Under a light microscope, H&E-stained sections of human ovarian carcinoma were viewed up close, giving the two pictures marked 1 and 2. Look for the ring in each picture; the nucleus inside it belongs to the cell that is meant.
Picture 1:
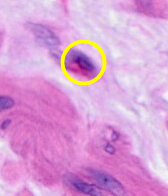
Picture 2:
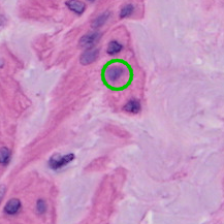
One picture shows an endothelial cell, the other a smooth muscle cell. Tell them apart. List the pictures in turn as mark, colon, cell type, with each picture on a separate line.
1: endothelial cell
2: smooth muscle cell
